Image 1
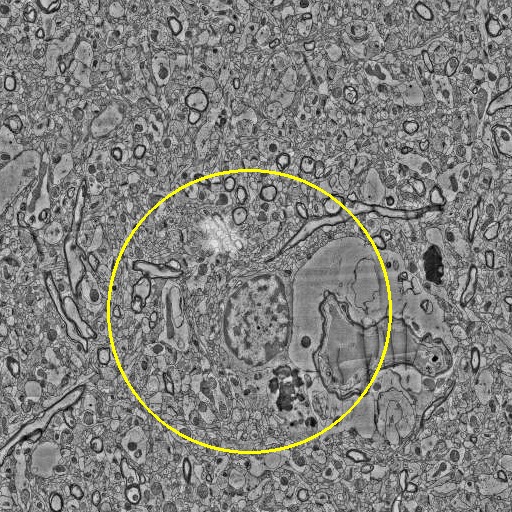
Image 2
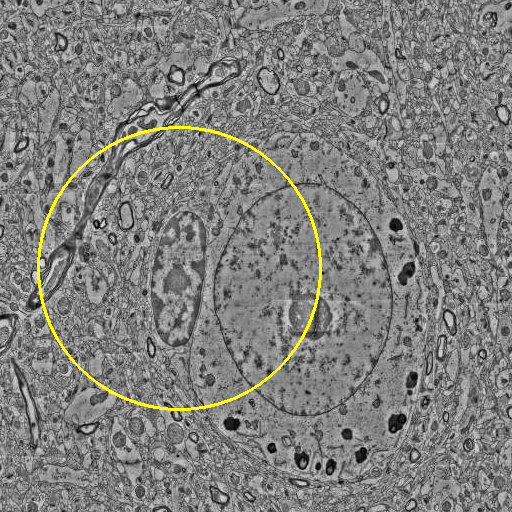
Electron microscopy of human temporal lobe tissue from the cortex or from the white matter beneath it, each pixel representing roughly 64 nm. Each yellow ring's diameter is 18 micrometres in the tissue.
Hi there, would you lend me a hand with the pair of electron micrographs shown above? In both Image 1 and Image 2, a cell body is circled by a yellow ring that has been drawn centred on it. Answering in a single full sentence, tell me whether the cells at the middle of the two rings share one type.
No, the ringed cells in Image 1 and Image 2 belong to two types.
